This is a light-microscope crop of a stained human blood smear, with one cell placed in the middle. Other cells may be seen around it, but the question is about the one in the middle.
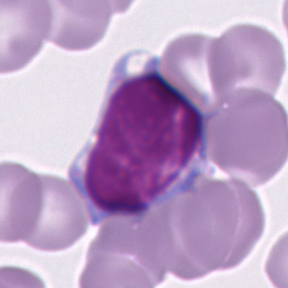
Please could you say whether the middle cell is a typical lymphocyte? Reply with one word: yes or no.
yes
